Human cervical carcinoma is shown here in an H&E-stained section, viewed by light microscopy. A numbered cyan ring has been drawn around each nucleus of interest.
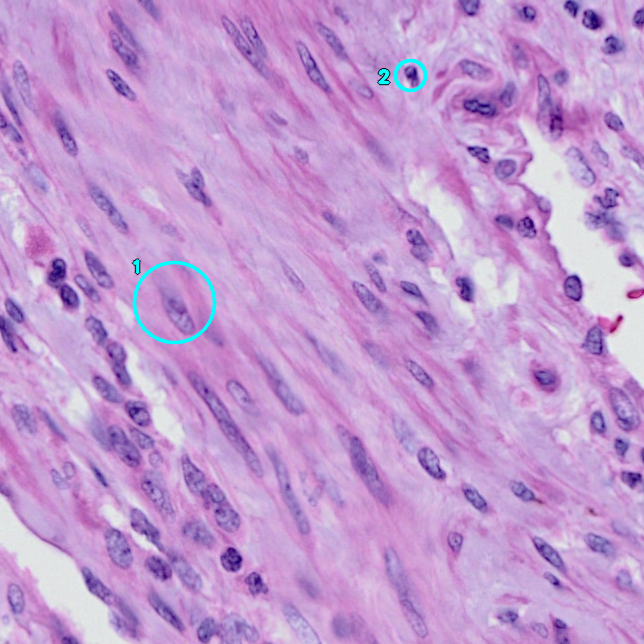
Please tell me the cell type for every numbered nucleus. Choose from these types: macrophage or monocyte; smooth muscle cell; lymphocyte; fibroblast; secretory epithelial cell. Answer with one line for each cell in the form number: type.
1: smooth muscle cell
2: lymphocyte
